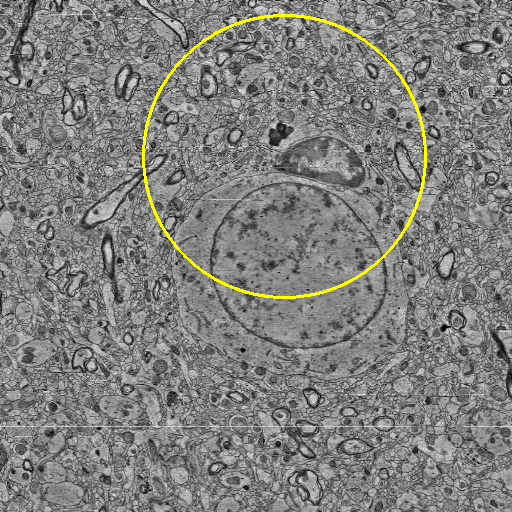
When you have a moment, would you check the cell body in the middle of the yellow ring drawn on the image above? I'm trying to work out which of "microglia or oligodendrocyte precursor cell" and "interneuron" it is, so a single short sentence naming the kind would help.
This cell body belongs to a microglial cell or oligodendrocyte precursor cell.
